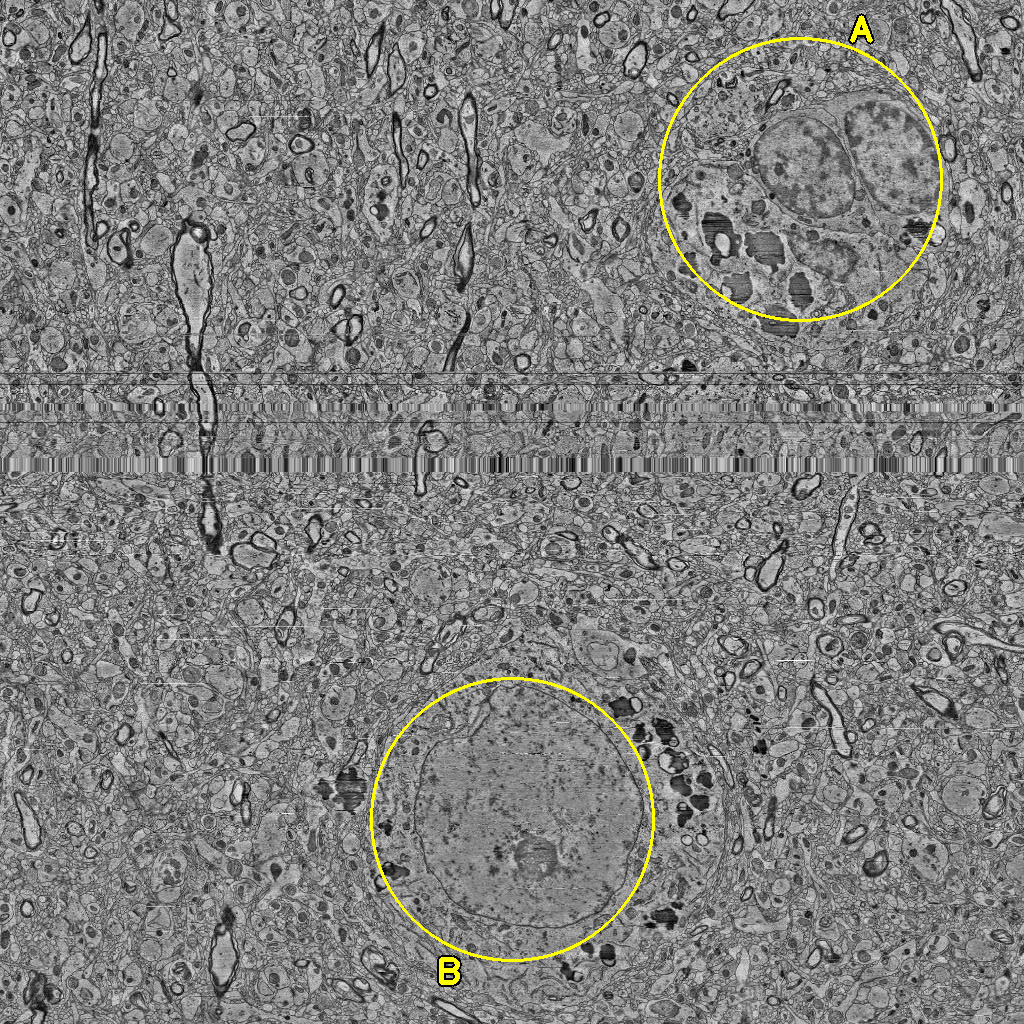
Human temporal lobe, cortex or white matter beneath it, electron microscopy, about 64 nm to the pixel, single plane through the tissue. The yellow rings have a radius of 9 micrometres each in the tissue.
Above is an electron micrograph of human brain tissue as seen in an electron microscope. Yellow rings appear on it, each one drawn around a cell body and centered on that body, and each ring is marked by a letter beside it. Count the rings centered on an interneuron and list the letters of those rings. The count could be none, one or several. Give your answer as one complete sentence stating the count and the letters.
Of all the yellow rings, not a single one is centred on an interneuron, so the number is zero.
